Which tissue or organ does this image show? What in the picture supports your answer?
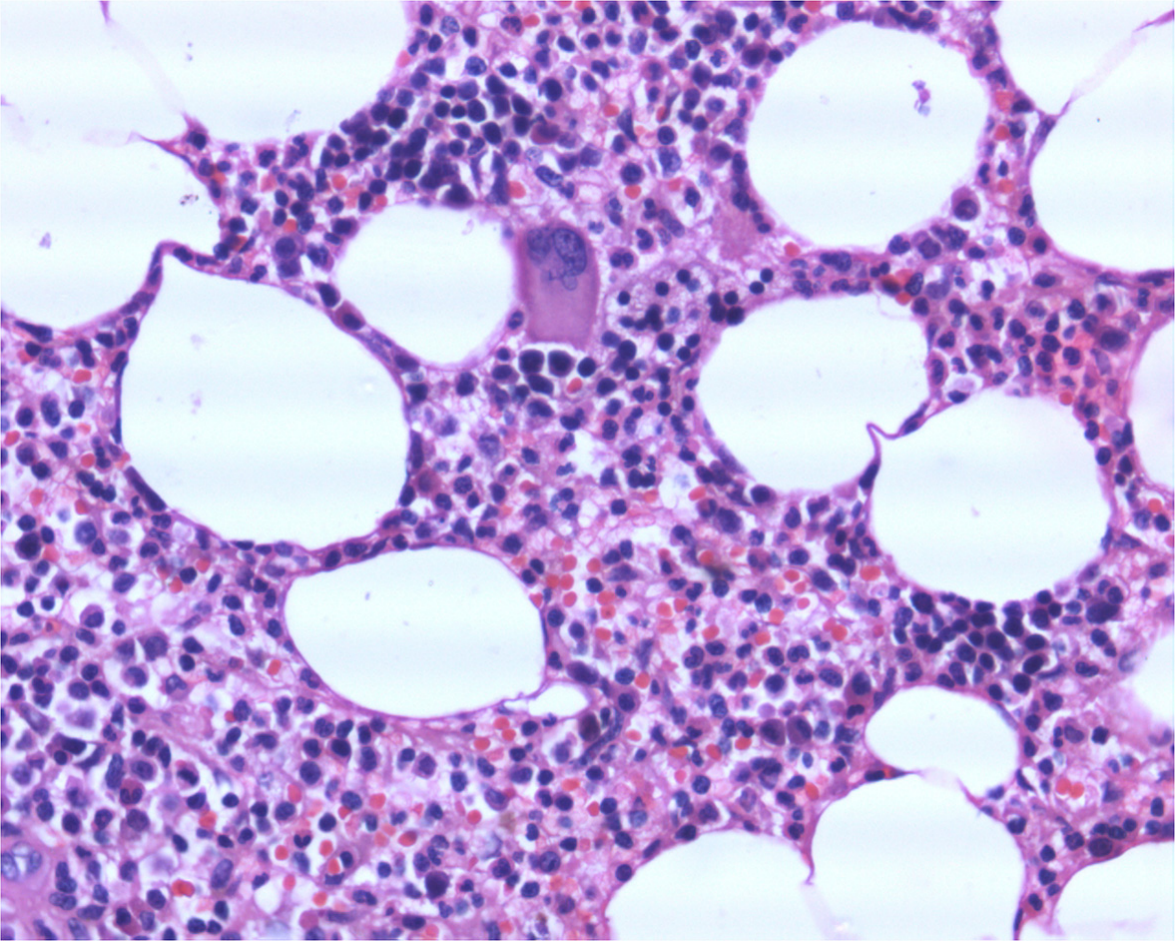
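Normal hematopoietic elements. Densely packed small round nucleated cells fill the spaces between large empty round fat spaces. A large cell with a lobulated nucleus and abundant pink cytoplasm lies among the small cells. Scattered bright red anucleate red blood cells lie among the nucleated cells.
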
